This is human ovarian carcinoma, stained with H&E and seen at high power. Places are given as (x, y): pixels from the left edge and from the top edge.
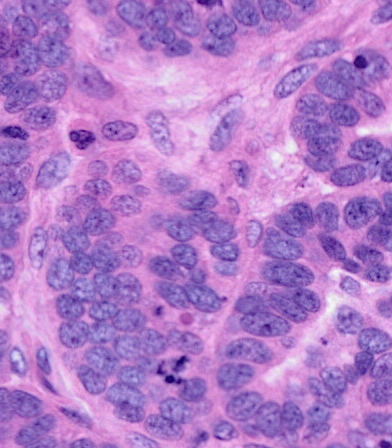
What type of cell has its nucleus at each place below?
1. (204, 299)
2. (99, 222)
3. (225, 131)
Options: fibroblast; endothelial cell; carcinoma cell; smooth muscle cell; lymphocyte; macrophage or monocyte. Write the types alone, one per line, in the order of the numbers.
carcinoma cell
carcinoma cell
fibroblast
